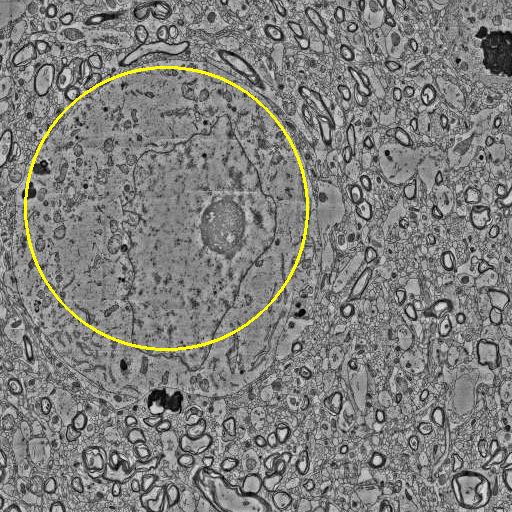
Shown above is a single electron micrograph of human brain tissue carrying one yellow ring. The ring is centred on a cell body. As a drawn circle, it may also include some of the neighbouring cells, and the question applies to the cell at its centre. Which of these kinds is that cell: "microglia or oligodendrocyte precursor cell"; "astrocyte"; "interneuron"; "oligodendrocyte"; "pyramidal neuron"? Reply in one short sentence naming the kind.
The cell marked by the ring is a pyramidal neuron.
